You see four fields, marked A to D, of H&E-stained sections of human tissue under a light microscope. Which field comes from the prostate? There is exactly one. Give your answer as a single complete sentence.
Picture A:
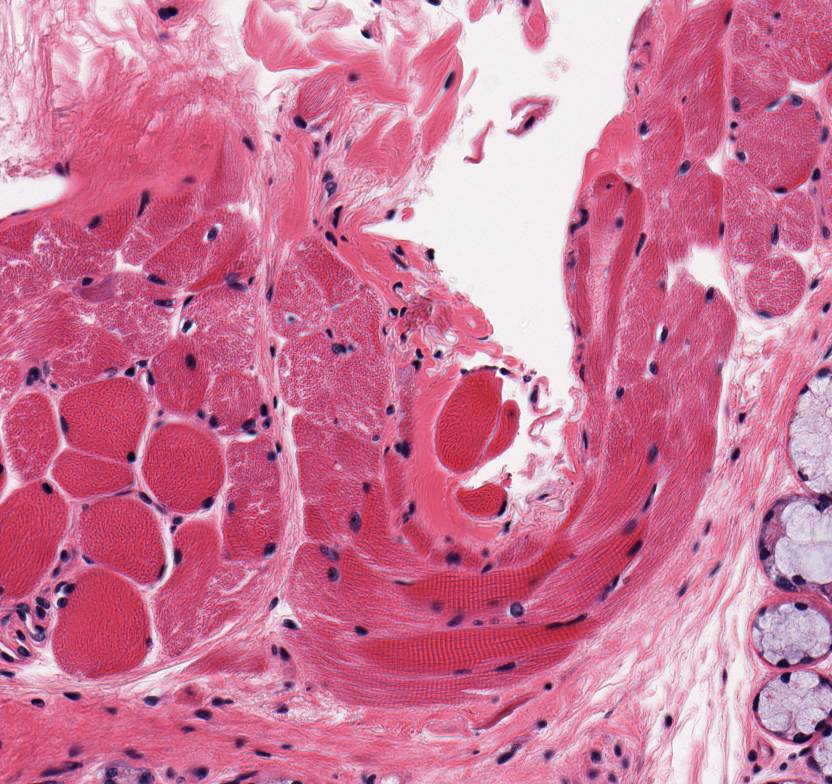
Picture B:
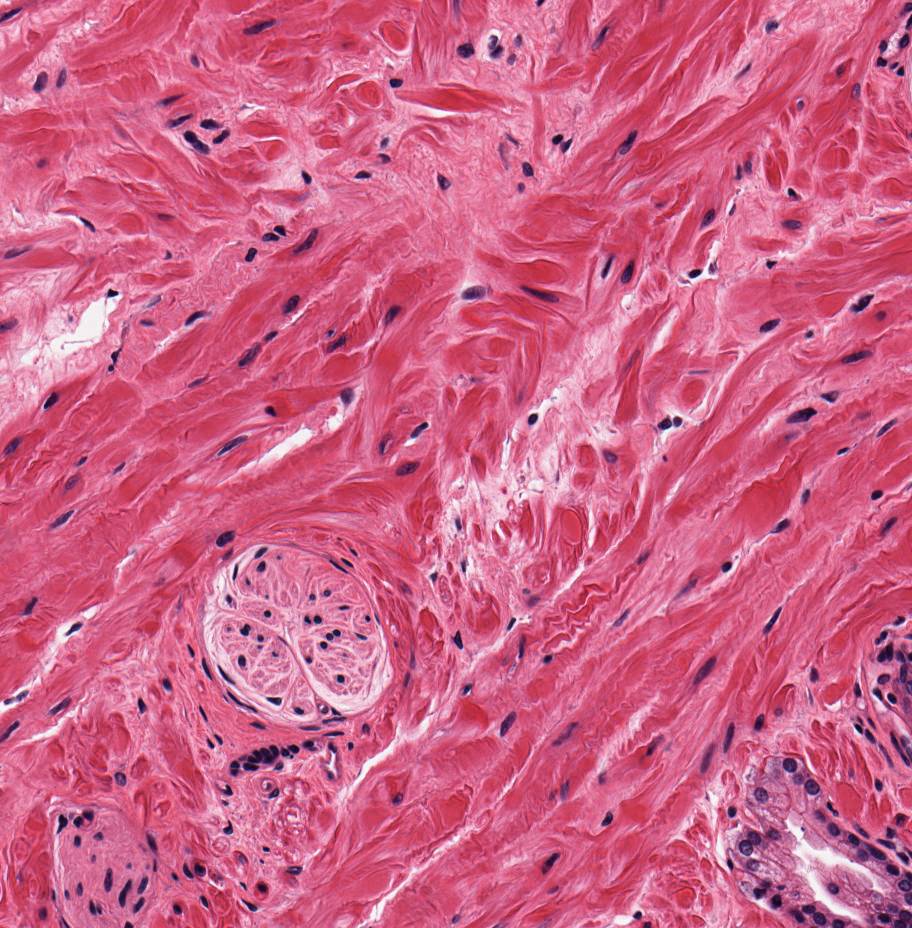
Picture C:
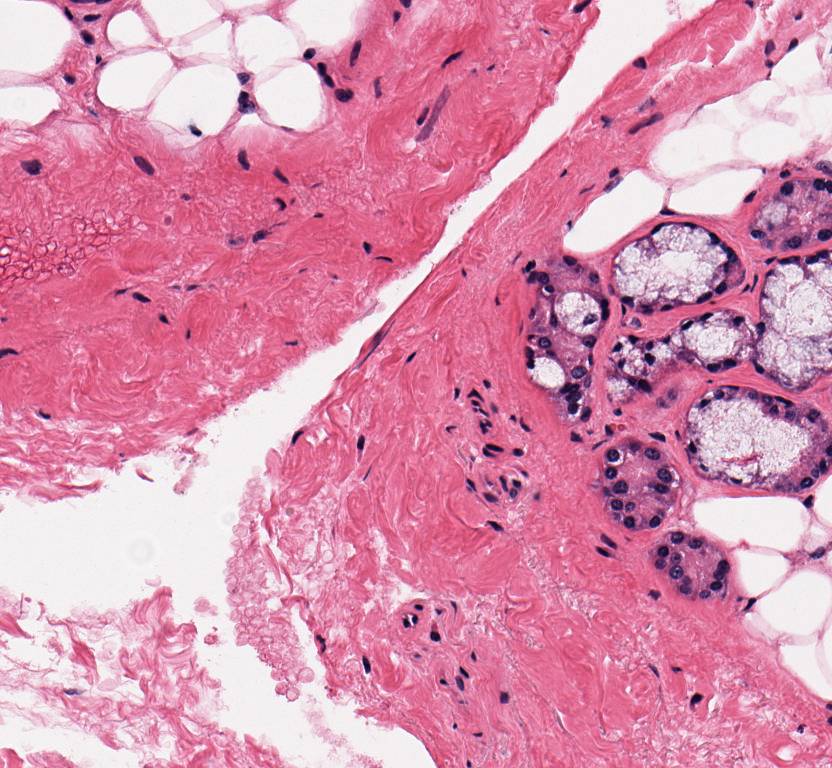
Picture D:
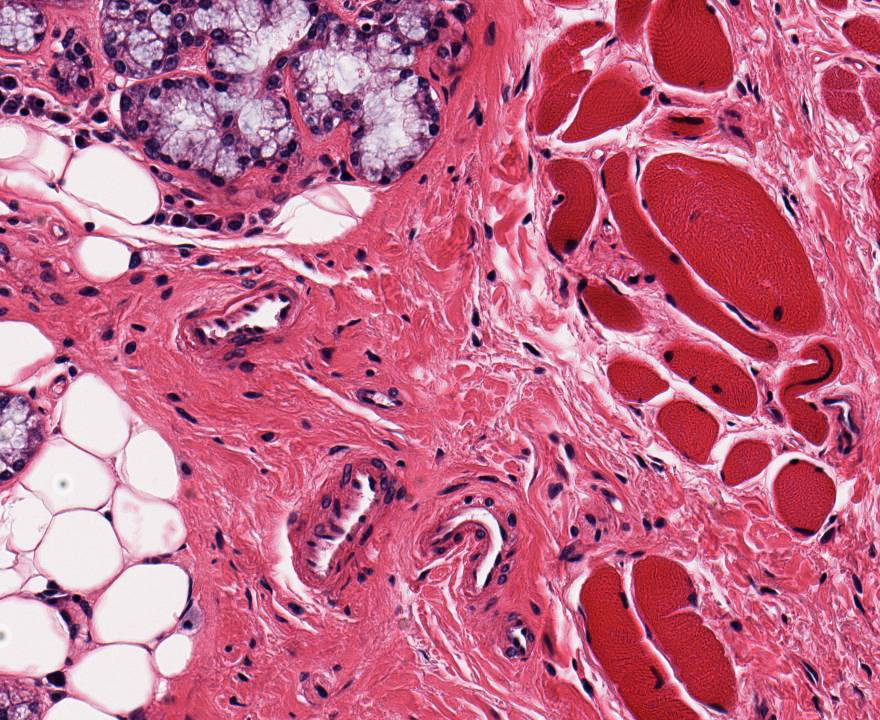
It is picture B that comes from the prostate.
